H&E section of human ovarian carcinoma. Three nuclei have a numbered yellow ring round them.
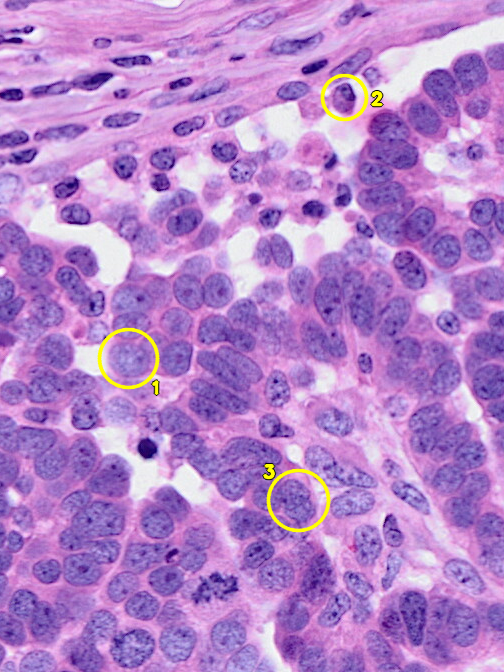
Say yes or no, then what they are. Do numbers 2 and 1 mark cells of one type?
No, cell 2 is a macrophage or monocyte and cell 1 is a carcinoma cell.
